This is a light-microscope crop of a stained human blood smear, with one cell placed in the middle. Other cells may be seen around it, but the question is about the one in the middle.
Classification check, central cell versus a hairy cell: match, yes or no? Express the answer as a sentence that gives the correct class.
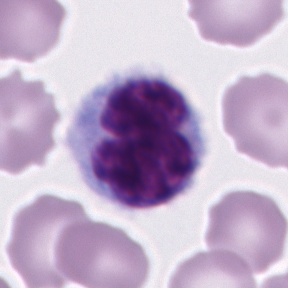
Yes, centred in the crop is a hairy cell.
